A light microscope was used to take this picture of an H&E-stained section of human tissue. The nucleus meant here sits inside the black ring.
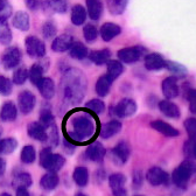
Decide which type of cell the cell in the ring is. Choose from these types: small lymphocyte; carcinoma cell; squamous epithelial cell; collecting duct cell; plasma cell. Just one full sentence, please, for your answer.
In this tissue sample, the cell in the ring is a small lymphocyte.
